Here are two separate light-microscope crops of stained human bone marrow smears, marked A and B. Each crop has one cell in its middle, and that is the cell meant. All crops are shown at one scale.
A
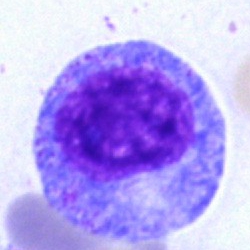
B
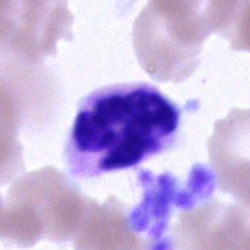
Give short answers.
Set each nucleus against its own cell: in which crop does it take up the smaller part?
A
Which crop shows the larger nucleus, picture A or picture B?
A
